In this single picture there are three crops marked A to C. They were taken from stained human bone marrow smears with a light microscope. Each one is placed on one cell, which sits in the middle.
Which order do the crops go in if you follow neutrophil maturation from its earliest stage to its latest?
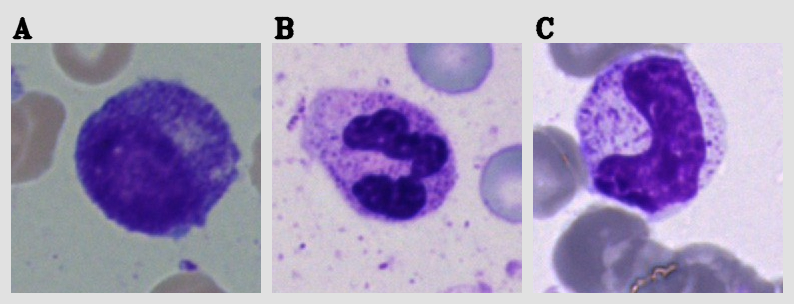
A, C, B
